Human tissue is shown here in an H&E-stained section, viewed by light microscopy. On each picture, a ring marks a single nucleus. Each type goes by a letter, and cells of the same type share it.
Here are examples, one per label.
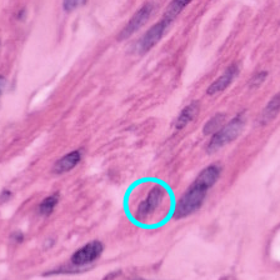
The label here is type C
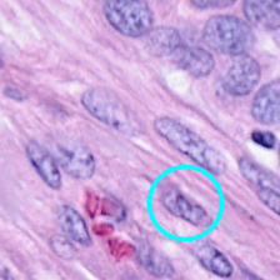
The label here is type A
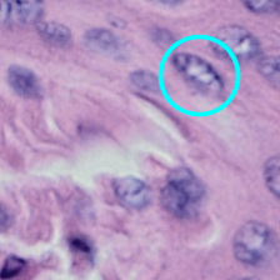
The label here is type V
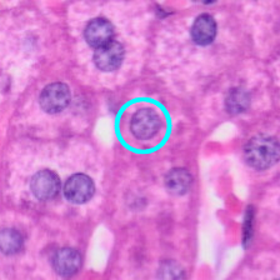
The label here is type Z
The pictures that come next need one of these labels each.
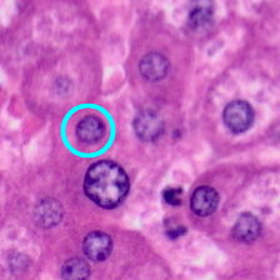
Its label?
type Z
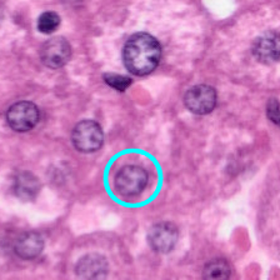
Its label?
type Z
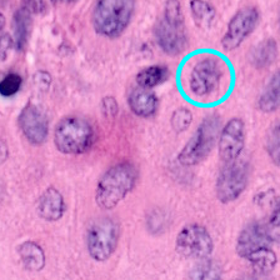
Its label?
type V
